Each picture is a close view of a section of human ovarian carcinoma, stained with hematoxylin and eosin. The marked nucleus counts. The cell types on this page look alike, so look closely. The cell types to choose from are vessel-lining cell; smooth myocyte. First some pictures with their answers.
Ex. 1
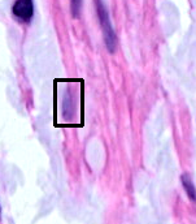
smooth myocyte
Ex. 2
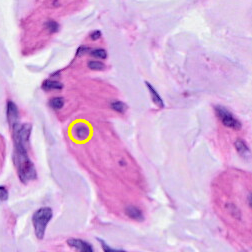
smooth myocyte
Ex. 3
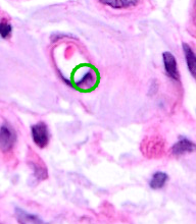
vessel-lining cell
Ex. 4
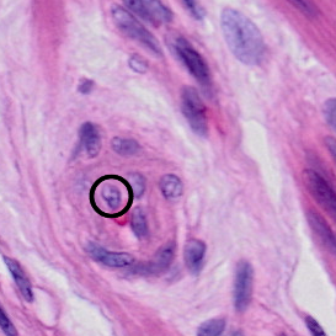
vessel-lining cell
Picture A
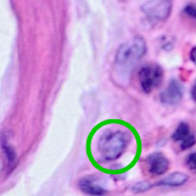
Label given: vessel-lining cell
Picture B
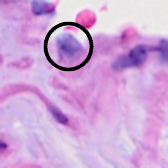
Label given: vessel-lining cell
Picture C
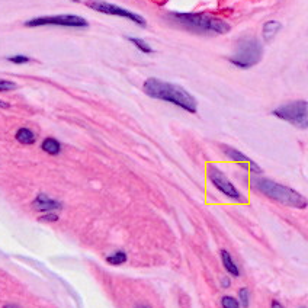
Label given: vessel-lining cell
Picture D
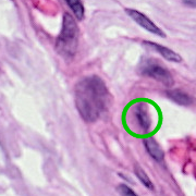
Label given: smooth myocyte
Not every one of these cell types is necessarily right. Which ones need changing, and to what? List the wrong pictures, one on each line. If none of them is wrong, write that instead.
C: smooth myocyte, not vessel-lining cell
D: vessel-lining cell, not smooth myocyte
